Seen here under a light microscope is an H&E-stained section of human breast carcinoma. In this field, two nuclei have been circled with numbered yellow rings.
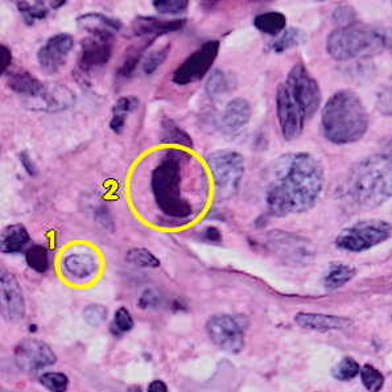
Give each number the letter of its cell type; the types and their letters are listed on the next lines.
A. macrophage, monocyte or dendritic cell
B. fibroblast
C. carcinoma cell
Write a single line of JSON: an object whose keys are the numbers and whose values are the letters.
{"1": "A", "2": "C"}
